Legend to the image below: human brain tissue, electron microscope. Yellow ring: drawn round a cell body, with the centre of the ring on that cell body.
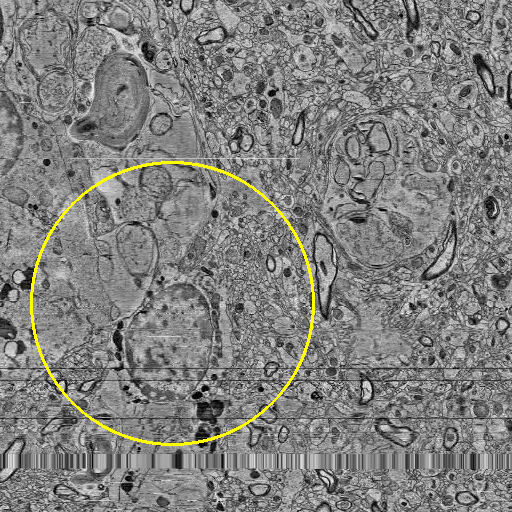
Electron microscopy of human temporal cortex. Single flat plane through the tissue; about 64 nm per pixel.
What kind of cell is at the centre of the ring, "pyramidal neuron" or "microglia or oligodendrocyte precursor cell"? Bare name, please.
microglia or oligodendrocyte precursor cell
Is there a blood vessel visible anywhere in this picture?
Yes, a blood vessel shows in the picture.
